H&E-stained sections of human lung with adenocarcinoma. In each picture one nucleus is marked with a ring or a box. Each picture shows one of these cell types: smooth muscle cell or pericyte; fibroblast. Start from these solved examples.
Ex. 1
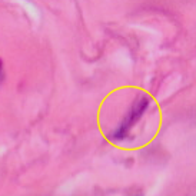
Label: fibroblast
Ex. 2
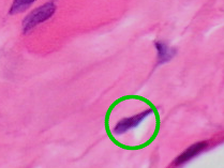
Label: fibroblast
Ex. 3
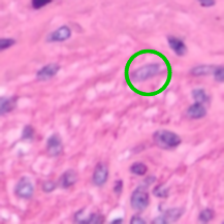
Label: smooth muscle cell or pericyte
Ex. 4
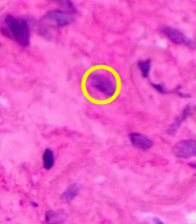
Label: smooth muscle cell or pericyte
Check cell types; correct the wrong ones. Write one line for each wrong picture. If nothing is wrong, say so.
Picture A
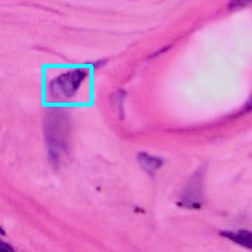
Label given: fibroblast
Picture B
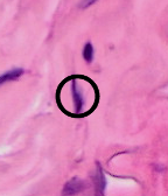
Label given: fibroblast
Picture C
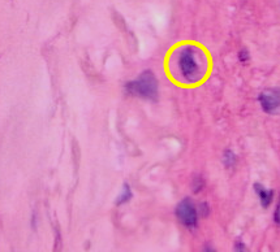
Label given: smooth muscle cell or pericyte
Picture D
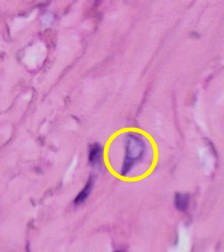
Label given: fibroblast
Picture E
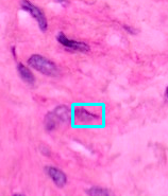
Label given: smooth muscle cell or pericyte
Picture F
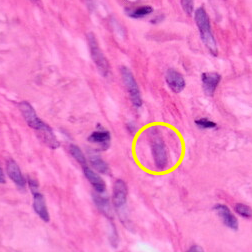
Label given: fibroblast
F: not fibroblast but smooth muscle cell or pericyte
